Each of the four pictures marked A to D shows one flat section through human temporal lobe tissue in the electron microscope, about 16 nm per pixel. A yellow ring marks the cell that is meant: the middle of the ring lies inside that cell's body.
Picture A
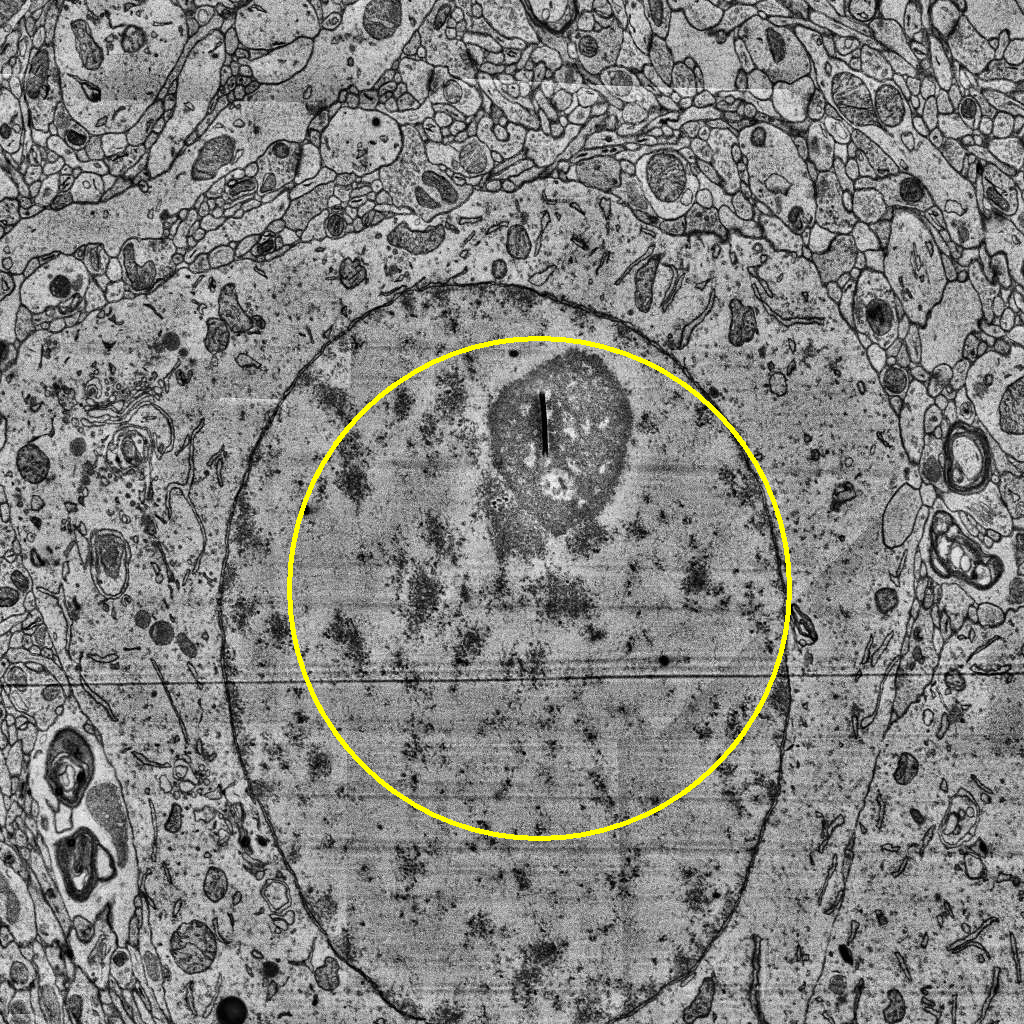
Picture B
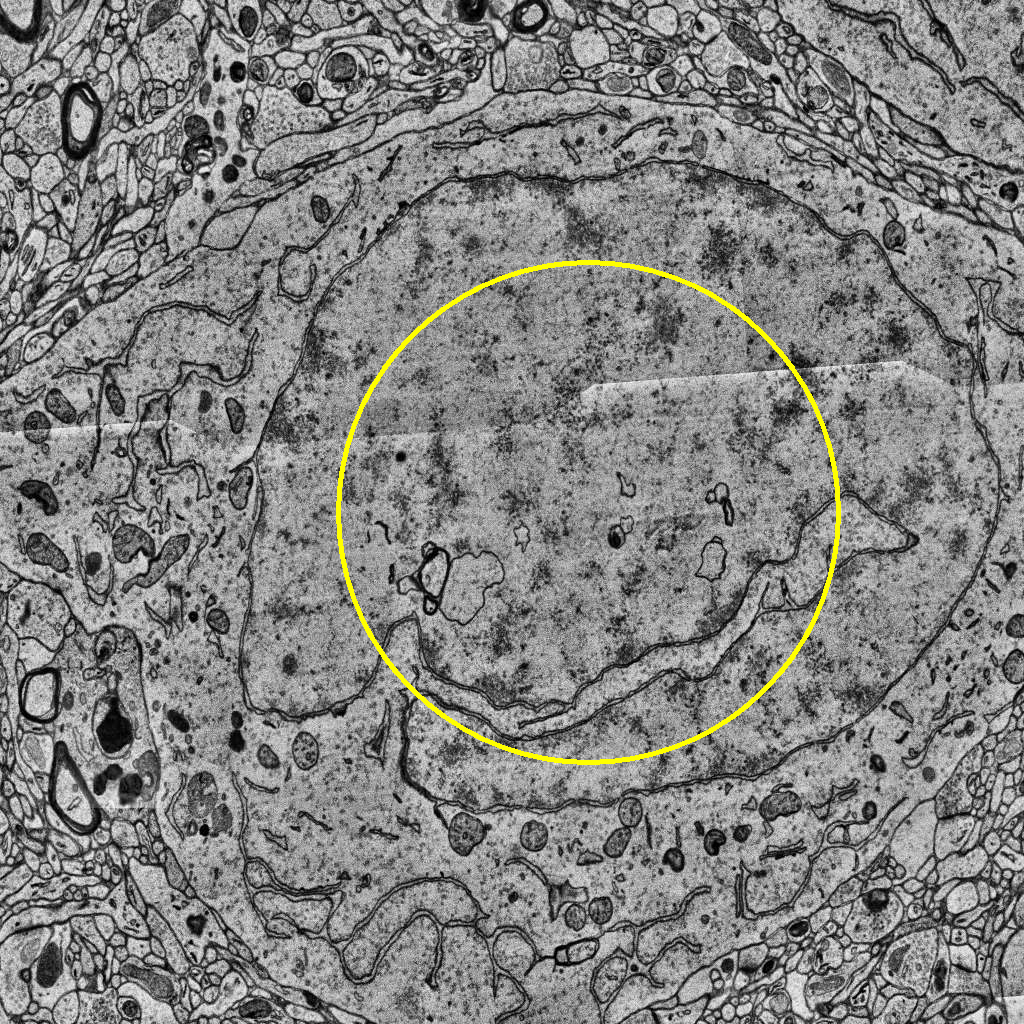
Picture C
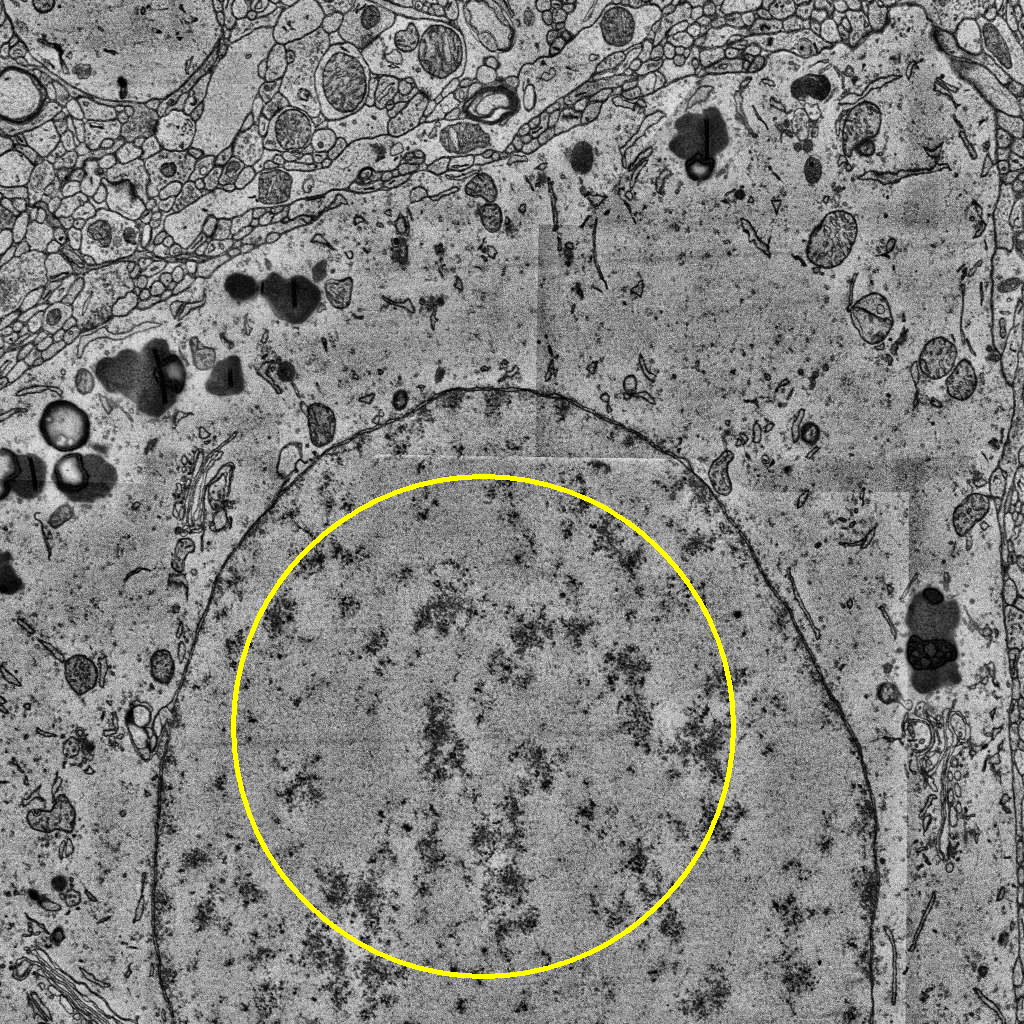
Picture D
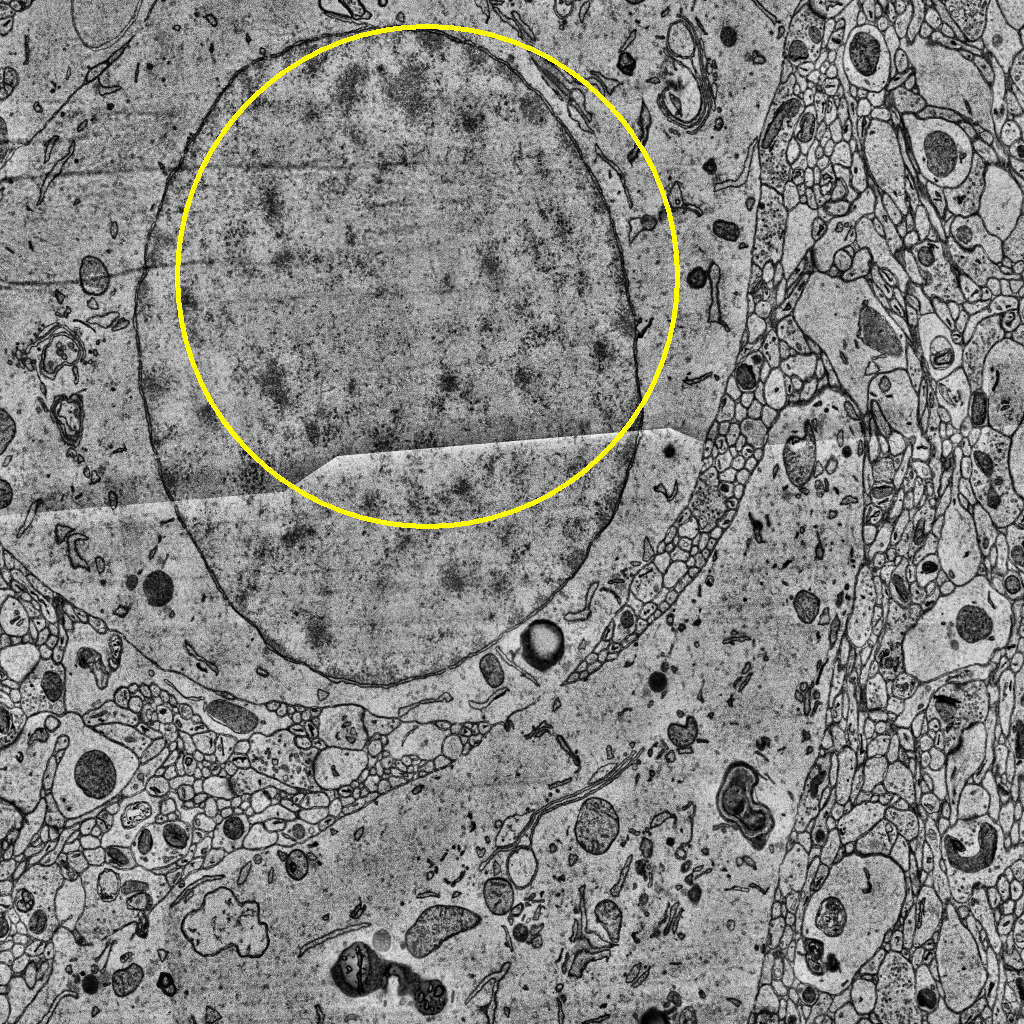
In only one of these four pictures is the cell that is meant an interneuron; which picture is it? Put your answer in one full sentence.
It is picture B that shows the interneuron.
